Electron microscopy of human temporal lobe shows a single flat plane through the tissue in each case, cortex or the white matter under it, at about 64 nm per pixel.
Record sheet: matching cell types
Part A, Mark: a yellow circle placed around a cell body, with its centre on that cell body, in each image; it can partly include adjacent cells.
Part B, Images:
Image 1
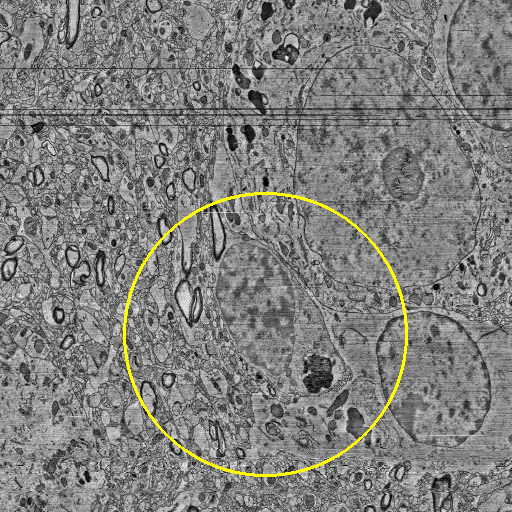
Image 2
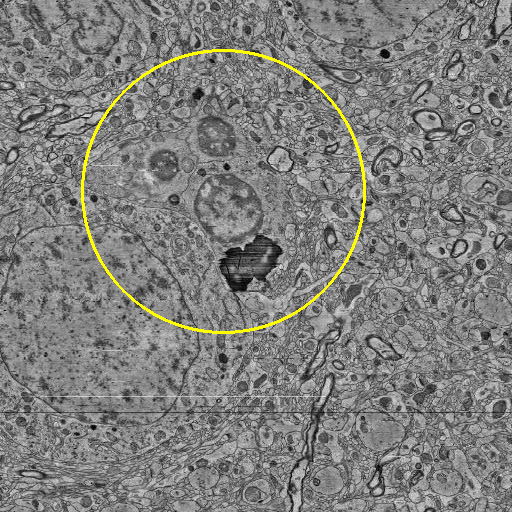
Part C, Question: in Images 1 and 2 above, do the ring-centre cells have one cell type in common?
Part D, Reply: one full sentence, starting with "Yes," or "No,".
Yes, the ring-centre cells of Image 1 and Image 2 are both of a single cell type.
